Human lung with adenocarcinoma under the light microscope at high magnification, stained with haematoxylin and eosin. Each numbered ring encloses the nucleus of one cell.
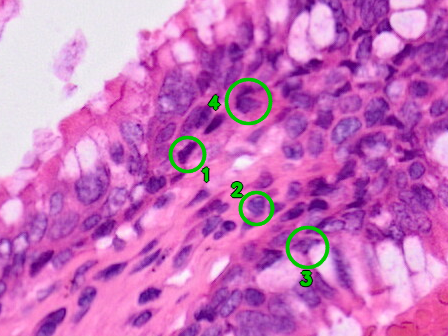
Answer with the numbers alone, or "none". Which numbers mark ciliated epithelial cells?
1, 3, 4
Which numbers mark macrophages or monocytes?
none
